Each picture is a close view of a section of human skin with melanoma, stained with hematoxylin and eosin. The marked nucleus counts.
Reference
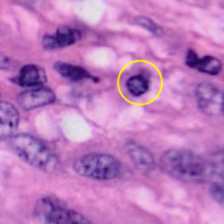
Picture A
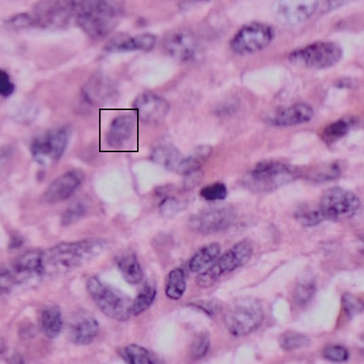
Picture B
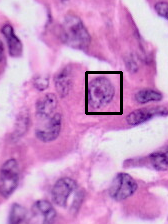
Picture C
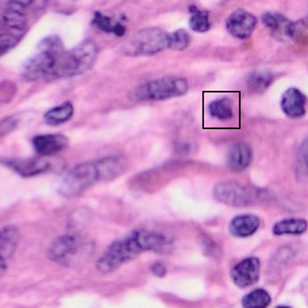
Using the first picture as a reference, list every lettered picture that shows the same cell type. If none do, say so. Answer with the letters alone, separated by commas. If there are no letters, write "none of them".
none of them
